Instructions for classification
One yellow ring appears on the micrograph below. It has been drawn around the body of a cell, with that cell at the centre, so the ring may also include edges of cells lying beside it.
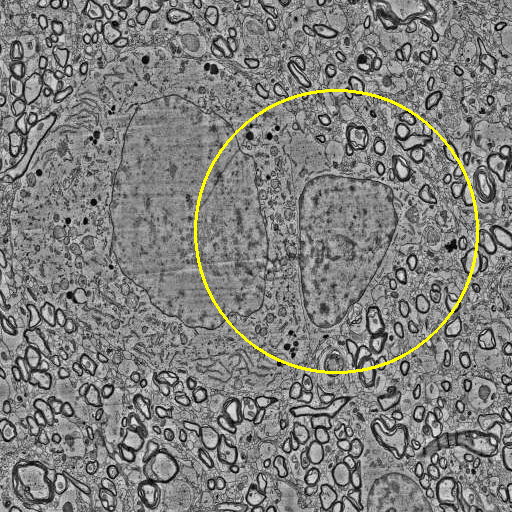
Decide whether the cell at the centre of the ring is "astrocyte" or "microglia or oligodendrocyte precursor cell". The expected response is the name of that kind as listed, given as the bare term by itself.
microglia or oligodendrocyte precursor cell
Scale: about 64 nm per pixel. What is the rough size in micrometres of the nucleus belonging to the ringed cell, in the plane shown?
About 10 by 7 micrometres, the nucleus being clearly longer than it is wide in this plane.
